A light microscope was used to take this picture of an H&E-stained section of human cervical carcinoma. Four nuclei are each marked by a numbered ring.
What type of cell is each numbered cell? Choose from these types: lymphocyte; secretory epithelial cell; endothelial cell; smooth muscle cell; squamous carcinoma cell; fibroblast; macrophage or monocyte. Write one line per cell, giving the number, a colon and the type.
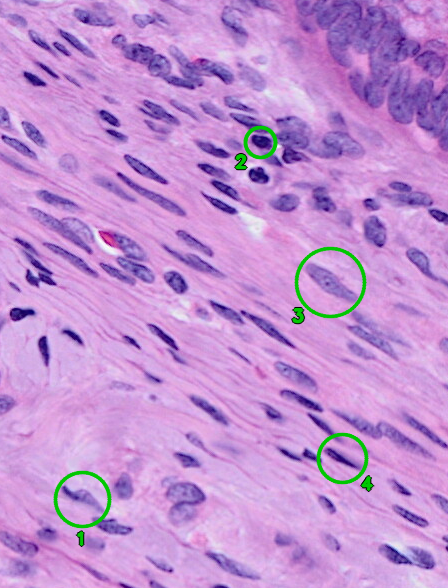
1: fibroblast
2: lymphocyte
3: fibroblast
4: fibroblast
